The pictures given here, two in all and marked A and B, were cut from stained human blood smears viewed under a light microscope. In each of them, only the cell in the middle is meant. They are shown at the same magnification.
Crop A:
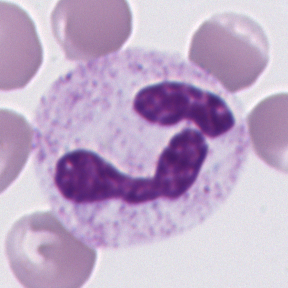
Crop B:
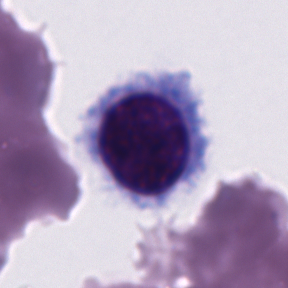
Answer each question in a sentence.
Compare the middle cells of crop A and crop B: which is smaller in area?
It is the cell in crop B; the cell in crop A has about 3 times its area.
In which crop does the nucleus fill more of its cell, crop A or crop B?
In crop B the nucleus takes up the larger part of its cell.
